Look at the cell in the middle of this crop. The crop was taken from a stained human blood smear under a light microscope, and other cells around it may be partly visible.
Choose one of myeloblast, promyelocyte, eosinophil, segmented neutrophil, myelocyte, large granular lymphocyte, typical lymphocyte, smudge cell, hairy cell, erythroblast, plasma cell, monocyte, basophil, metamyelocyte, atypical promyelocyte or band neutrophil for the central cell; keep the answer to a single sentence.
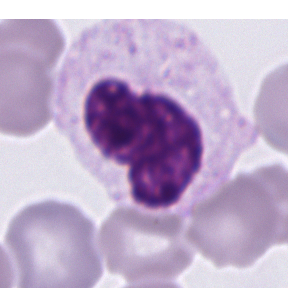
In this crop, the cell at the very middle is a segmented neutrophil.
